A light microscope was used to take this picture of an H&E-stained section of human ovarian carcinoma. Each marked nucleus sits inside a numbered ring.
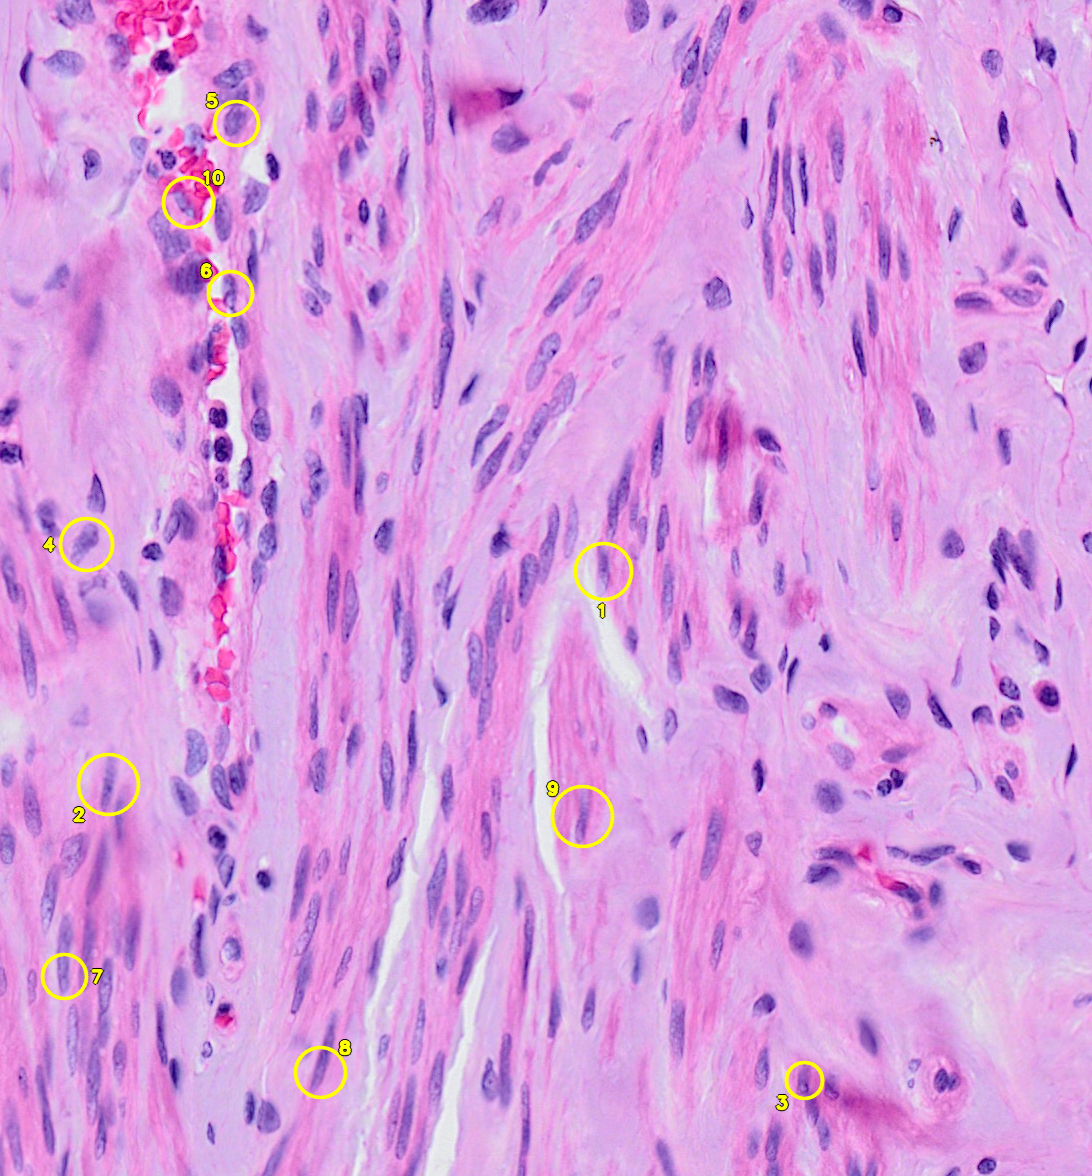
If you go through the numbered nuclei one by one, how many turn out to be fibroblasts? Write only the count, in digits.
1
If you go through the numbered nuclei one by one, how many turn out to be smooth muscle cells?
6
